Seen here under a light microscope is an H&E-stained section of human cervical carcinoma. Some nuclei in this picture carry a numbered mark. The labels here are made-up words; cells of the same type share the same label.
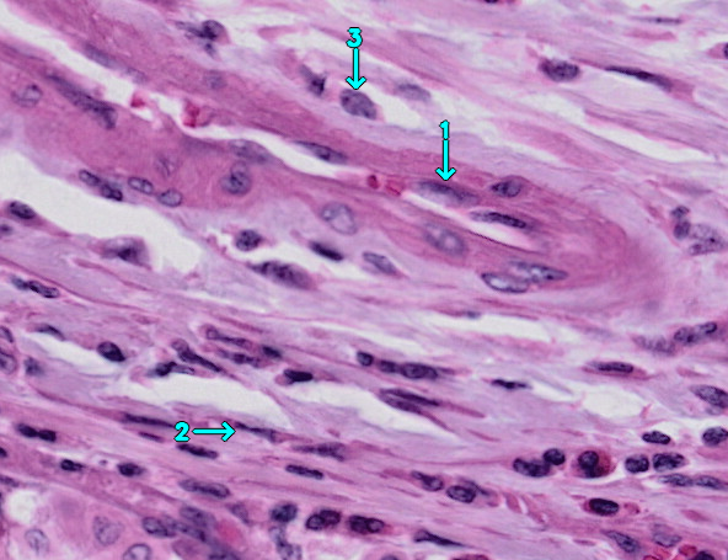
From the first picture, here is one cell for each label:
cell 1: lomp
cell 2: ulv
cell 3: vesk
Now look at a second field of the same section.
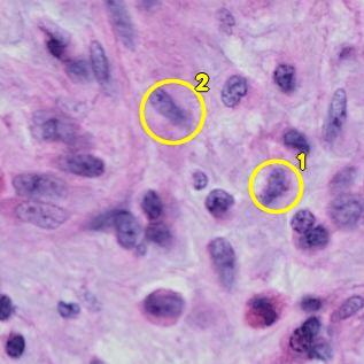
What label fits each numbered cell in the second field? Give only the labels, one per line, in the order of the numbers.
vesk
ulv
